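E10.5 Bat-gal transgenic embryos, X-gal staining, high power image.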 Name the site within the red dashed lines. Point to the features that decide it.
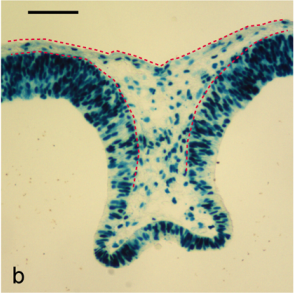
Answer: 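The red dashed lines bound the midline space between two thick epithelial walls. The enclosed space holds loosely scattered cells rather than a packed layer.
Interhemispheric region.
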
